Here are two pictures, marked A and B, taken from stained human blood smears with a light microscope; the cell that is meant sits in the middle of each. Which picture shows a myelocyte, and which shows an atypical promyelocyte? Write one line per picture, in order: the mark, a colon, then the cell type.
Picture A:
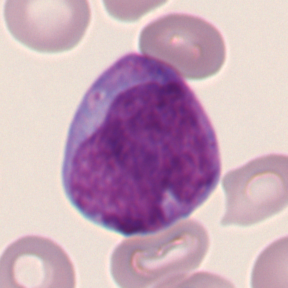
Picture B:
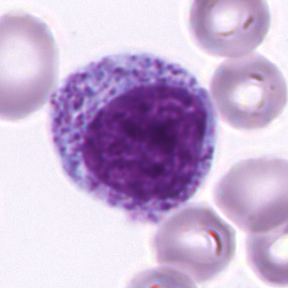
A: atypical promyelocyte
B: myelocyte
